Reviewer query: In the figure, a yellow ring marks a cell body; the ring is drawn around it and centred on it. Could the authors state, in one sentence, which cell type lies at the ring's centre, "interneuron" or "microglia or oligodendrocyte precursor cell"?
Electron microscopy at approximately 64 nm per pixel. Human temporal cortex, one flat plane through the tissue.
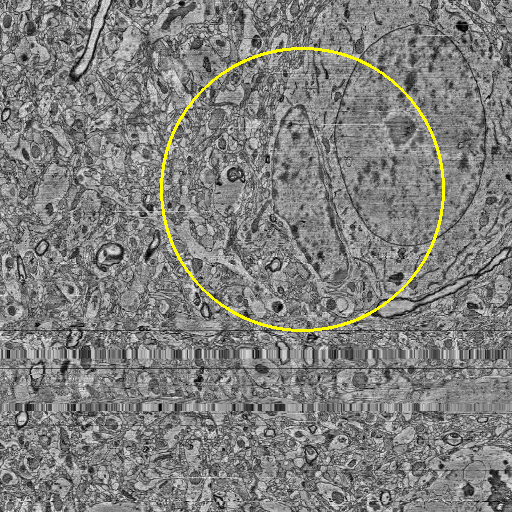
The ring is centred on a microglial cell or oligodendrocyte precursor cell.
